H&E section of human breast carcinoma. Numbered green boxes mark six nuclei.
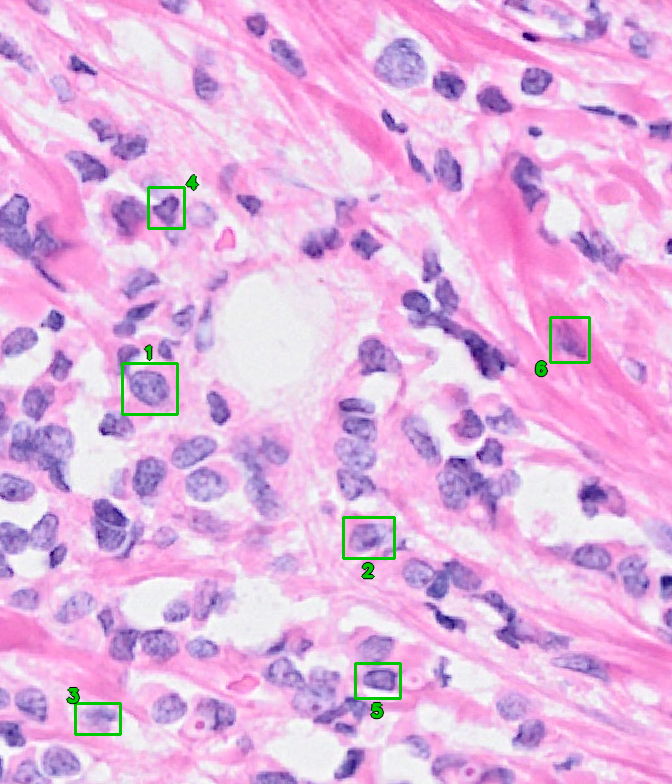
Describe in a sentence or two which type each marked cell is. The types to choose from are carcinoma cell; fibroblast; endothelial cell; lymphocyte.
Cells 1, 2, 4 and 5 are carcinoma cells. Cells 3 and 6 are fibroblasts.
